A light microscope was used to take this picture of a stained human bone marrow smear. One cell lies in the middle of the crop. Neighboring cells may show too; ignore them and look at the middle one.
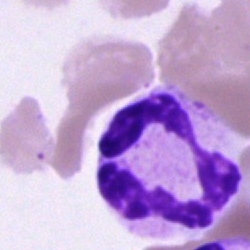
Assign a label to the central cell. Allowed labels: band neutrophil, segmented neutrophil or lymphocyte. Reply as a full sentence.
The cell that lies at the centre of the crop is a segmented neutrophil.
